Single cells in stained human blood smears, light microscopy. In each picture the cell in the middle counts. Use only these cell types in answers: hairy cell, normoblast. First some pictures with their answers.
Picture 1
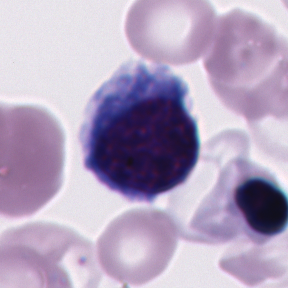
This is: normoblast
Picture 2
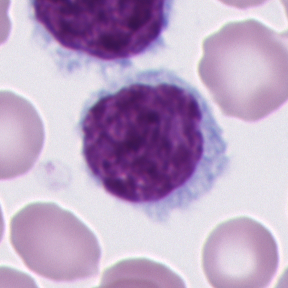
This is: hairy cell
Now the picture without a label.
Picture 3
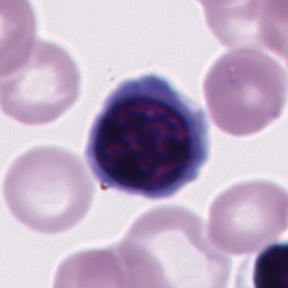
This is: normoblast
